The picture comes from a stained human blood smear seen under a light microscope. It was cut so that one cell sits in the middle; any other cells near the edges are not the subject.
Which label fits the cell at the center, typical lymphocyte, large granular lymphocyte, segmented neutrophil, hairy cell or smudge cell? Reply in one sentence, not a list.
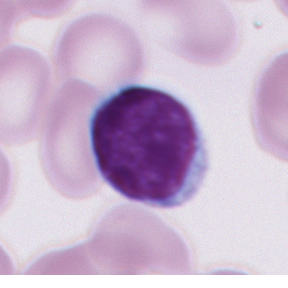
Present in the middle of the crop is a typical lymphocyte.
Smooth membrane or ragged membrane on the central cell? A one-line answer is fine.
Smooth outline, no projections: that is the whole story of its edge.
